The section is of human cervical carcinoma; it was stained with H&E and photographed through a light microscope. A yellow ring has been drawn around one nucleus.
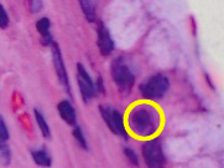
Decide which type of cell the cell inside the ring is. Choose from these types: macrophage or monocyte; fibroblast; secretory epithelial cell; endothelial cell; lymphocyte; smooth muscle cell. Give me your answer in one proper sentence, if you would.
Just put down that the cell inside the ring is a secretory epithelial cell.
